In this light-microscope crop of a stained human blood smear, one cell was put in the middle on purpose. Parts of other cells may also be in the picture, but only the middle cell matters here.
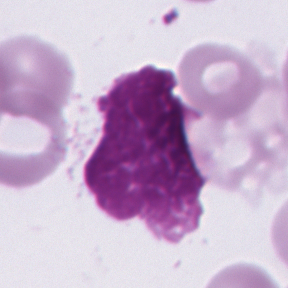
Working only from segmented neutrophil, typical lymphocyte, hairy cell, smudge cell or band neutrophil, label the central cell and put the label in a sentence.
The centrally positioned cell in the crop represents a smudge cell.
